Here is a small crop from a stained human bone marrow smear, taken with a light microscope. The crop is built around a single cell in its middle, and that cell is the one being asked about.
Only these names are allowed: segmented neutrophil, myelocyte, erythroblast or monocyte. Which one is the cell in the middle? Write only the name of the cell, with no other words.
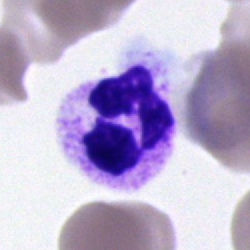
segmented neutrophil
